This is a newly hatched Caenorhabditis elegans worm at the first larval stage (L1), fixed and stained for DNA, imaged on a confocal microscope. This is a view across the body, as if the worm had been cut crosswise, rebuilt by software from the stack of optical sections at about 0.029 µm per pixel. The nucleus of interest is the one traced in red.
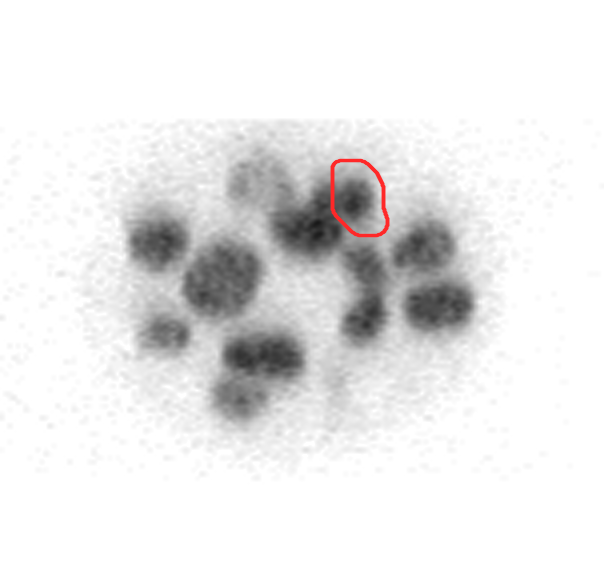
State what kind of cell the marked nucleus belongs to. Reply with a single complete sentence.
The marked nucleus is that of a glial cell (sheath or socket).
